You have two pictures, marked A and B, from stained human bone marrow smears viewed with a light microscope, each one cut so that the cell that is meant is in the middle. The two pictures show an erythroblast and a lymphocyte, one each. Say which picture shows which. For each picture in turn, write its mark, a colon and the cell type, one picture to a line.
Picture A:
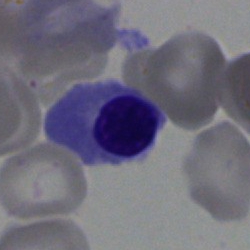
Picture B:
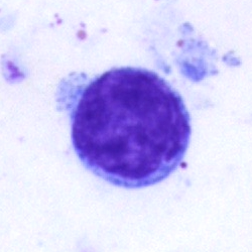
A: erythroblast
B: lymphocyte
